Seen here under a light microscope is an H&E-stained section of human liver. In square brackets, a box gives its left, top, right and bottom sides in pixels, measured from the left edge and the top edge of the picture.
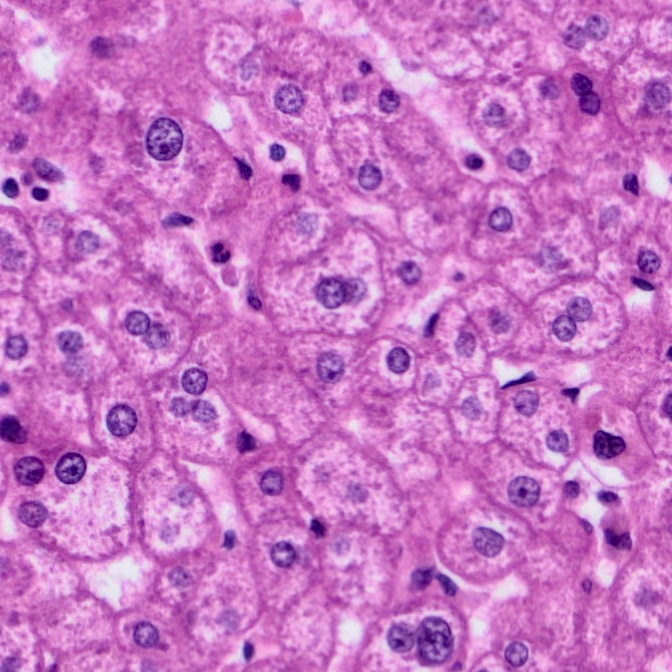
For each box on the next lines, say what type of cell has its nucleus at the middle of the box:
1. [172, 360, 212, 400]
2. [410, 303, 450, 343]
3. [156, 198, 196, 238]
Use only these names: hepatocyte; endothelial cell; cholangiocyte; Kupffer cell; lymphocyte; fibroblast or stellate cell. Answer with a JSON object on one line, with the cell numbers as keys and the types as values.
{"1": "hepatocyte", "2": "endothelial cell", "3": "endothelial cell"}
